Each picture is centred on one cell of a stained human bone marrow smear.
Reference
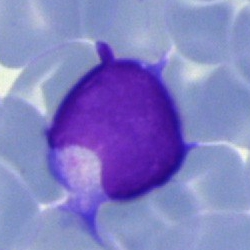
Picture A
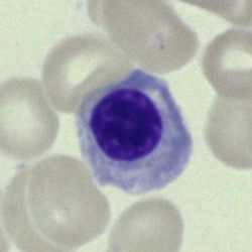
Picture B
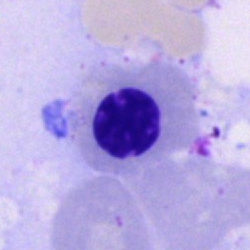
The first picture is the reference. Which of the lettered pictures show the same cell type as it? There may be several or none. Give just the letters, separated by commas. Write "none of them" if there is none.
none of them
